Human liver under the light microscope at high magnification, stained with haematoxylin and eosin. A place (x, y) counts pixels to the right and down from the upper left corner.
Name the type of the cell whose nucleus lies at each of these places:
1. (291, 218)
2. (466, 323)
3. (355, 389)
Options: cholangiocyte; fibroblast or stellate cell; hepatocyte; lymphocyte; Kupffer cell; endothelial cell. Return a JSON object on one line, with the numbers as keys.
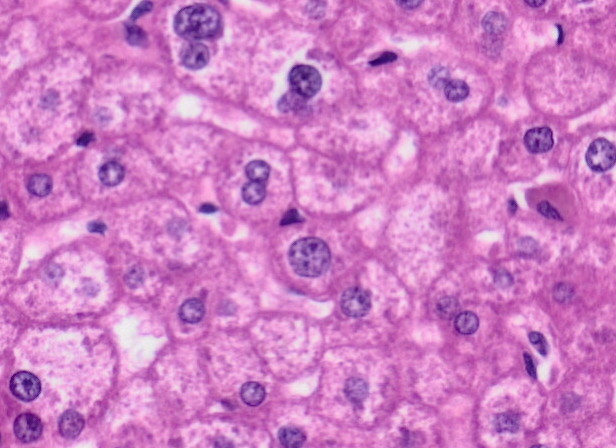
{"1": "fibroblast or stellate cell", "2": "hepatocyte", "3": "hepatocyte"}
